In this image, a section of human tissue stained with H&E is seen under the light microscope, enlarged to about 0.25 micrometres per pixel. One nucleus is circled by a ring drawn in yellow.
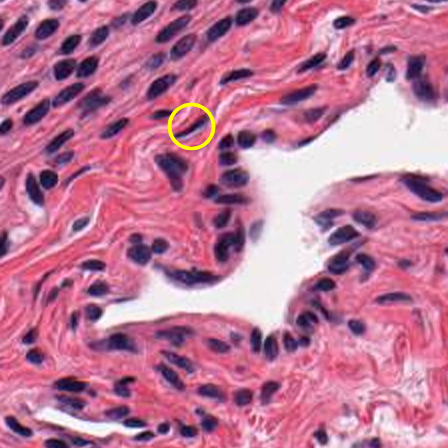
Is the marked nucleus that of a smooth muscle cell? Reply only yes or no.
no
